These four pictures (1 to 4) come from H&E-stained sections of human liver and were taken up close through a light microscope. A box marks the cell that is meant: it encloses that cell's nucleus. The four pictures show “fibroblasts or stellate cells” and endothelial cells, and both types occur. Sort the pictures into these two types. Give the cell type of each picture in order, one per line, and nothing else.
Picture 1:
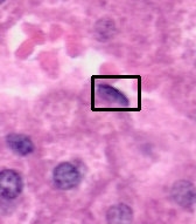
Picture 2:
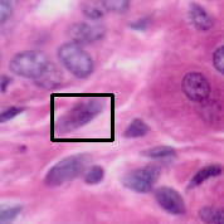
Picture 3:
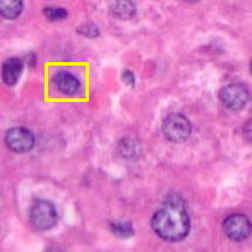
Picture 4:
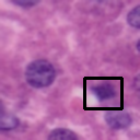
endothelial cell
fibroblast or stellate cell
fibroblast or stellate cell
endothelial cell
